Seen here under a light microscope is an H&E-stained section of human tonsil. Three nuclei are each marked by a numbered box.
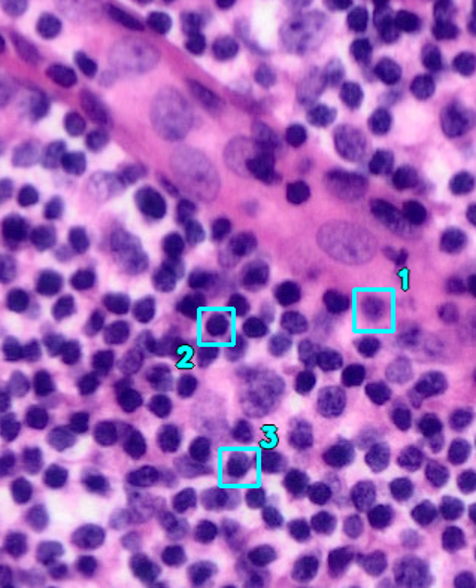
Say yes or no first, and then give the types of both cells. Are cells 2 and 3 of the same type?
Yes, cell number 2 and cell number 3 are both small lymphocytes.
